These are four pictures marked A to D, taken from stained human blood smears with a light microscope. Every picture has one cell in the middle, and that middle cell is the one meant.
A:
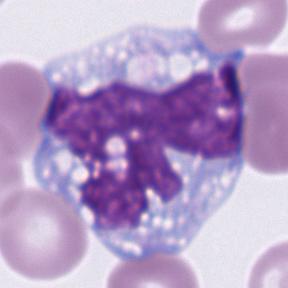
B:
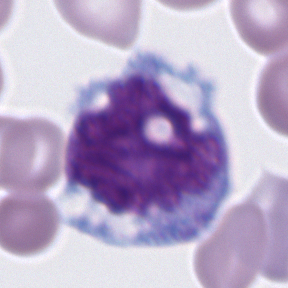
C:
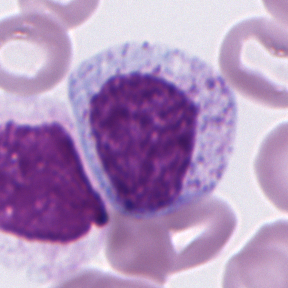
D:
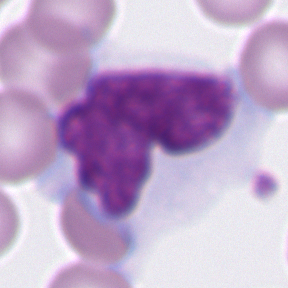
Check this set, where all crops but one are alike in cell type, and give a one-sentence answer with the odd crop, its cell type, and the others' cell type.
There is a myelocyte in crop C, while all the other crops show monocytes.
